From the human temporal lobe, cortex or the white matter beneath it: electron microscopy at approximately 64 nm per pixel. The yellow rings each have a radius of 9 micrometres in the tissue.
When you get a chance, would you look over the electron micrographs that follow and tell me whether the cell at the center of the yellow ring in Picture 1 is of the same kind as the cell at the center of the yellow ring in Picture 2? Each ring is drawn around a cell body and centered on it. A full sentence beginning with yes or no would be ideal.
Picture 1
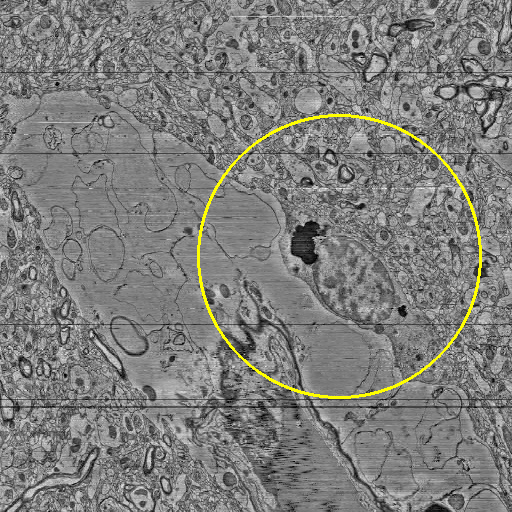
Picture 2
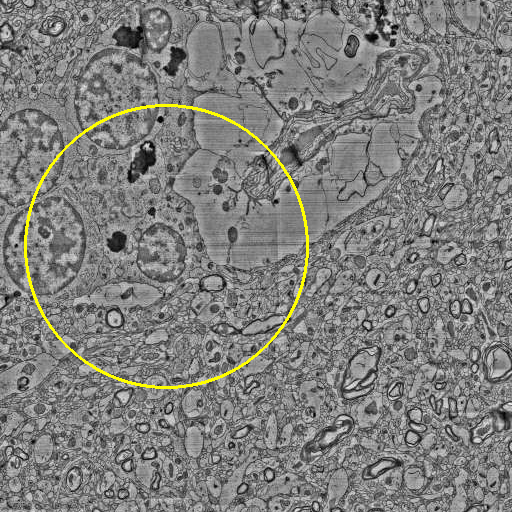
Yes, the two cells are of the same kind.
